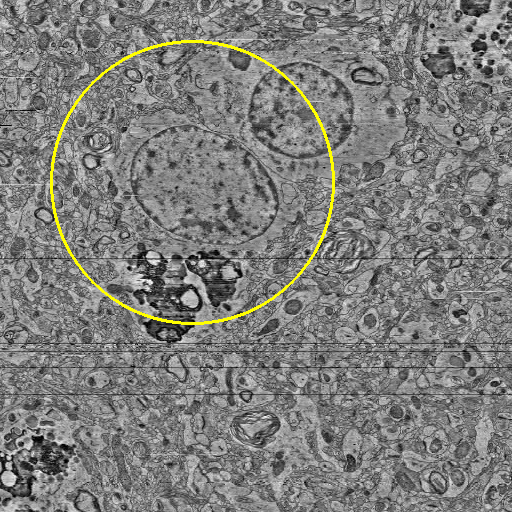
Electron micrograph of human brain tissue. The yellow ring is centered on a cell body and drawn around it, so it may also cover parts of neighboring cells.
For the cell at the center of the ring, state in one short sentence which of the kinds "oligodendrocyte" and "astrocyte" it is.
This ring is centered on an astrocyte.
